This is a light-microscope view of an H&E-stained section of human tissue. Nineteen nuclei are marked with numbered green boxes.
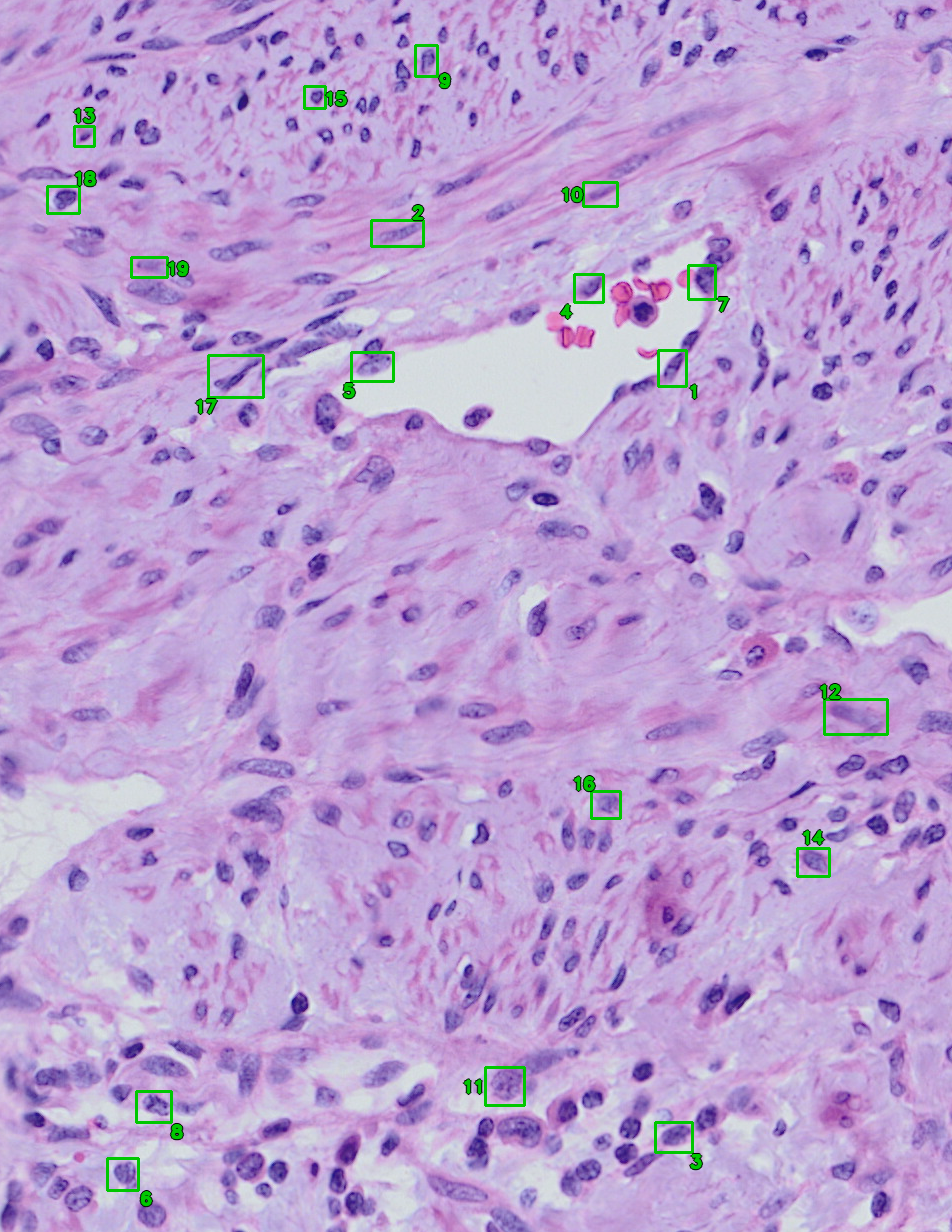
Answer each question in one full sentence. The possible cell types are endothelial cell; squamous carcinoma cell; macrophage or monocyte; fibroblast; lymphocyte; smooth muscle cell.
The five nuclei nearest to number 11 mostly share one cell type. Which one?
Lymphocytes make up most of the five nuclei closest to number 11.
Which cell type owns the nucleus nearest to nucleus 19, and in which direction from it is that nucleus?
Lying below nucleus 19, the nearest nucleus is that of a smooth muscle cell.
